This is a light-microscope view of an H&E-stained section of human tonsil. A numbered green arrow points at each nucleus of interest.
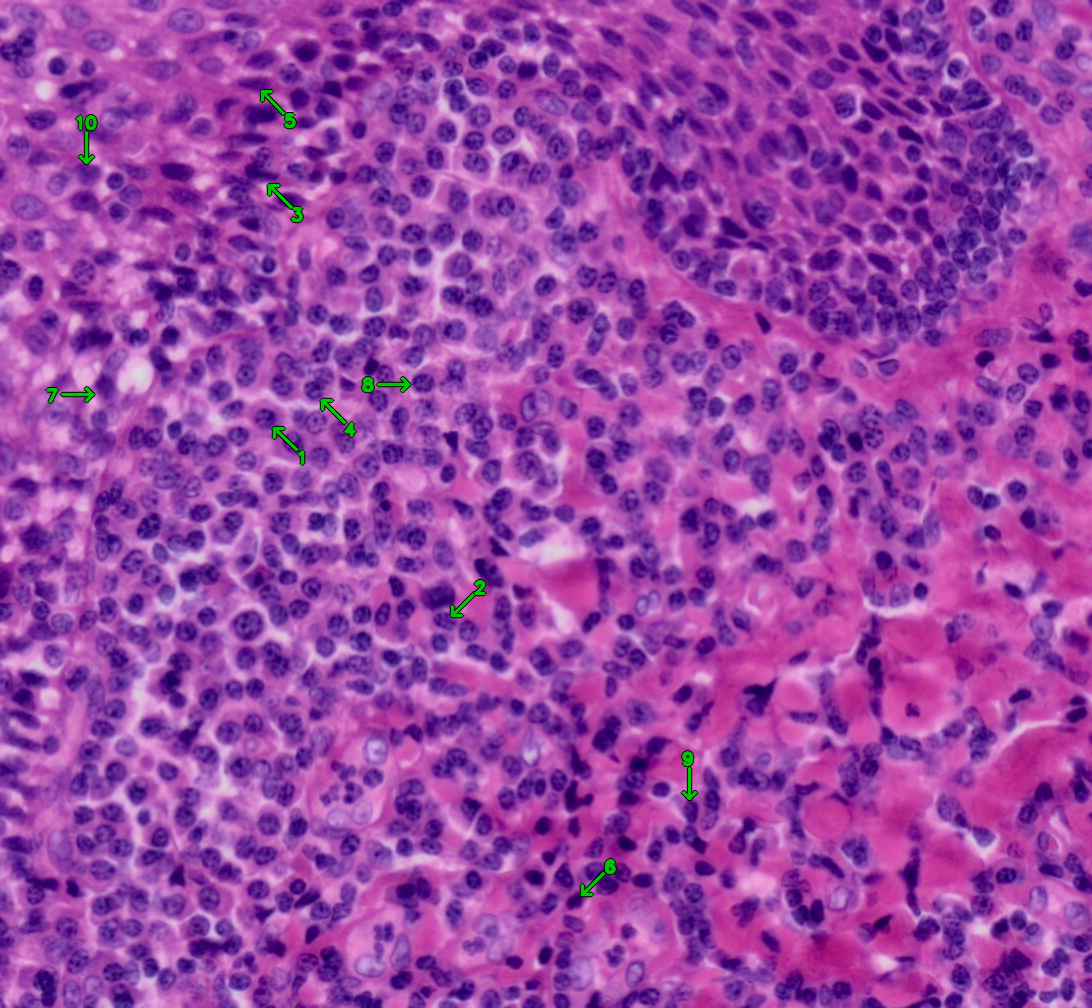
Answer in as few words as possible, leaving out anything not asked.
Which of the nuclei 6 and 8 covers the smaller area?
6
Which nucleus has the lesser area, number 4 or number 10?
4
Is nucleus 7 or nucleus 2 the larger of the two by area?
7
